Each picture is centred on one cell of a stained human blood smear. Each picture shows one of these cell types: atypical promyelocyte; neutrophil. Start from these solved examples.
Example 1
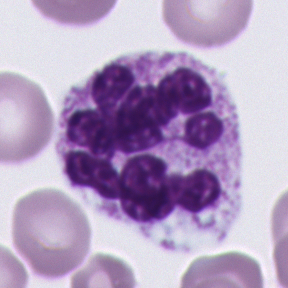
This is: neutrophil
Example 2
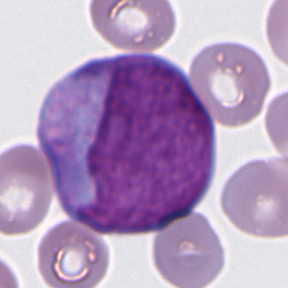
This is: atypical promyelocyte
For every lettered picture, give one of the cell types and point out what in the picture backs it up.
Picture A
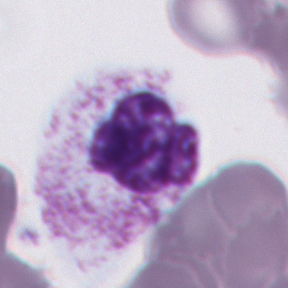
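neutrophil. Between the granules the cytoplasm is pale and nearly colourless.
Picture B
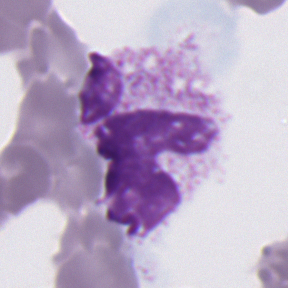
neutrophil. The nucleus is split into lobes, with one smaller lobe at the upper left set apart from the rest.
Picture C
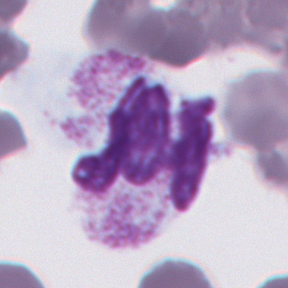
neutrophil. The nucleus is divided into several elongated lobes.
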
